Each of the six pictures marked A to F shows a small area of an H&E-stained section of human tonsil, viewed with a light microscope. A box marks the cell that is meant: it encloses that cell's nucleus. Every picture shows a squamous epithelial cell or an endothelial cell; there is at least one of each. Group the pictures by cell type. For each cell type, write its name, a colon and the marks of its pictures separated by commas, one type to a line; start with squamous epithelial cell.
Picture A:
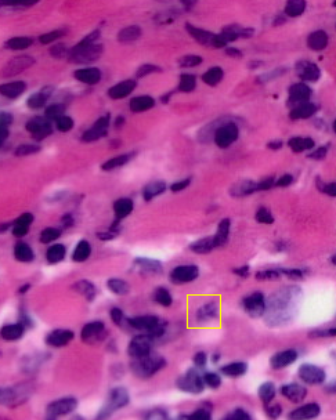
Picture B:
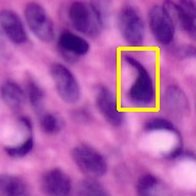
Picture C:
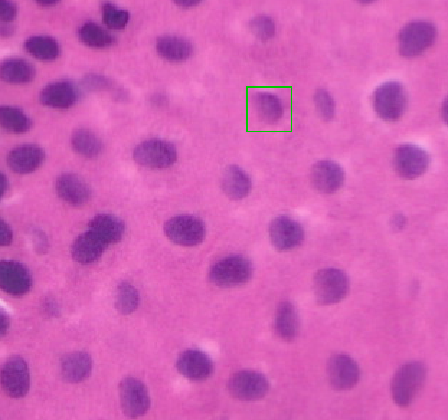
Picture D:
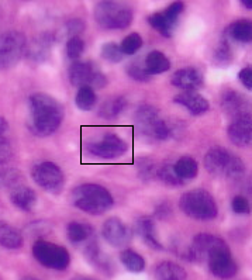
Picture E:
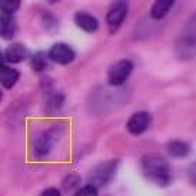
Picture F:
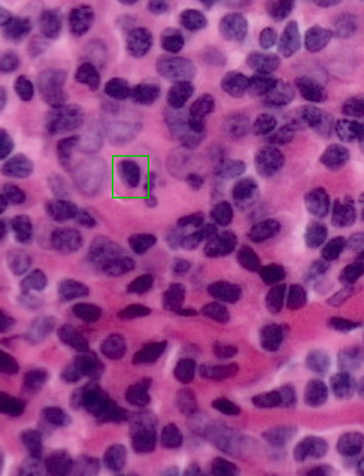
squamous epithelial cell: B, C, D
endothelial cell: A, E, F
